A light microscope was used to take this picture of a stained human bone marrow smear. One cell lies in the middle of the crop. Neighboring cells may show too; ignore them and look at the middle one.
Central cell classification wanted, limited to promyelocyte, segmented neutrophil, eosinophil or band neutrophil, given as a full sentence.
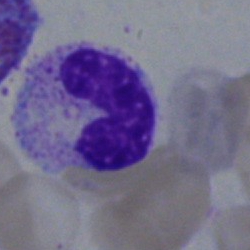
Classified as a band neutrophil is the cell in the middle of this crop.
